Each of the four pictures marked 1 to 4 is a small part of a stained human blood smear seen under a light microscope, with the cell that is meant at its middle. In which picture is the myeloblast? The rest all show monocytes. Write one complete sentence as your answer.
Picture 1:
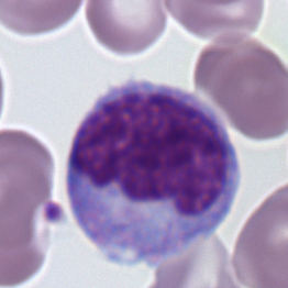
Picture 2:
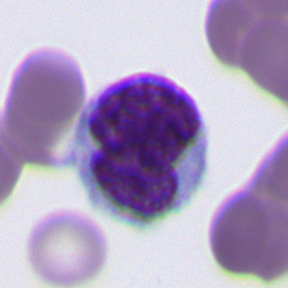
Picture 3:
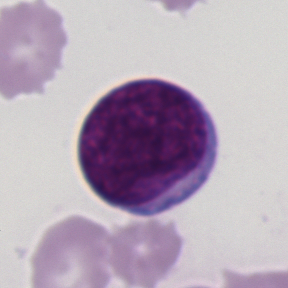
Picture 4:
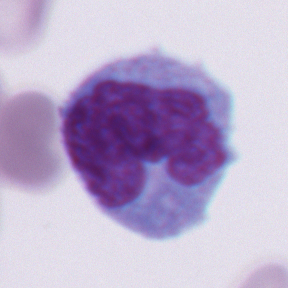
It is picture 3 that shows the myeloblast.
